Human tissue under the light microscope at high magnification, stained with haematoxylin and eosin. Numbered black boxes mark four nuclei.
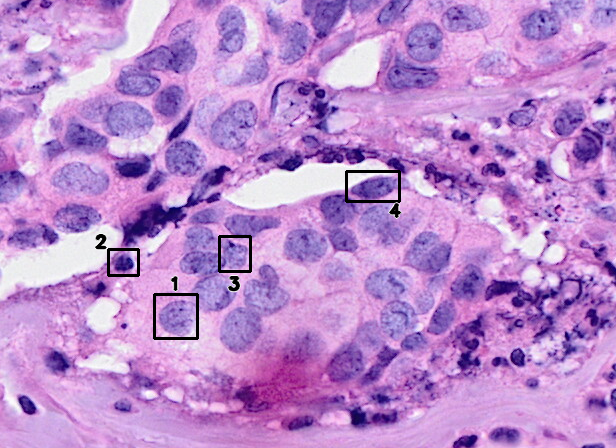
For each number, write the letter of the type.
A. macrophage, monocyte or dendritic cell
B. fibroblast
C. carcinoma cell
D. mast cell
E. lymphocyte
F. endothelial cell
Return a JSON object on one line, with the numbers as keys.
{"1": "C", "2": "E", "3": "C", "4": "C"}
